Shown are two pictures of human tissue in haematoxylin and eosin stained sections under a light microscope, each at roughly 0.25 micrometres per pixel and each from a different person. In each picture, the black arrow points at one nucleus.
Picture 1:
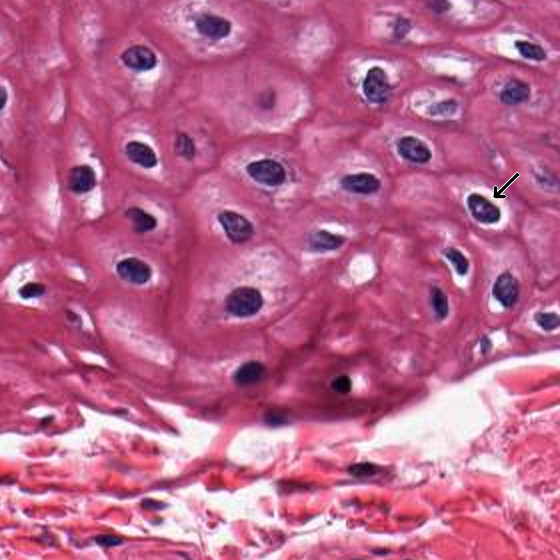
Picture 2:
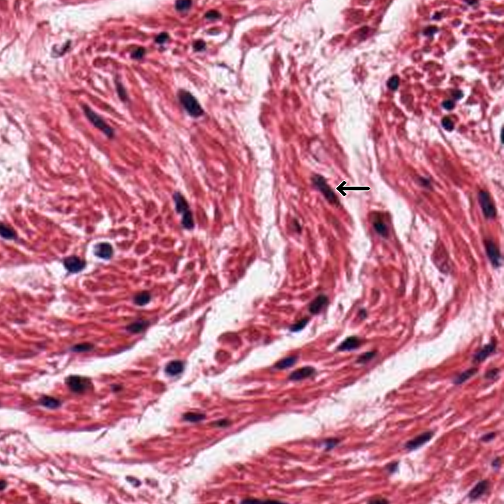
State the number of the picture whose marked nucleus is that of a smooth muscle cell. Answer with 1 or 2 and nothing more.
2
